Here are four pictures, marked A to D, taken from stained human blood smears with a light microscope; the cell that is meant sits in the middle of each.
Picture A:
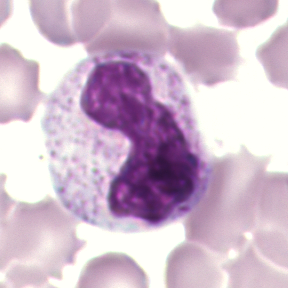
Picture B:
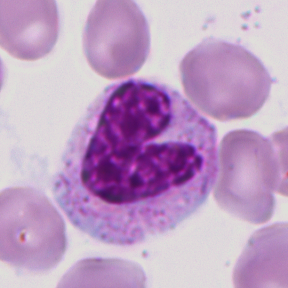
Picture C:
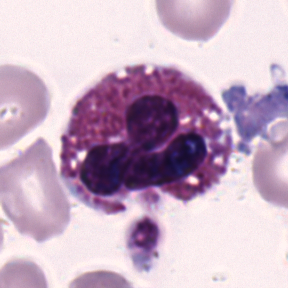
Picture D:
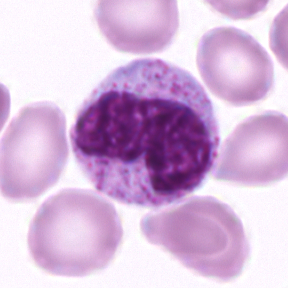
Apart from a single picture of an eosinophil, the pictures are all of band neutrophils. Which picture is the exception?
C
